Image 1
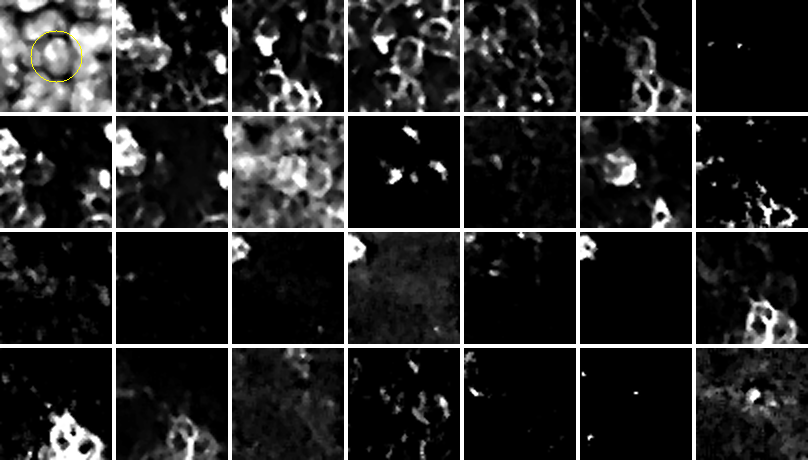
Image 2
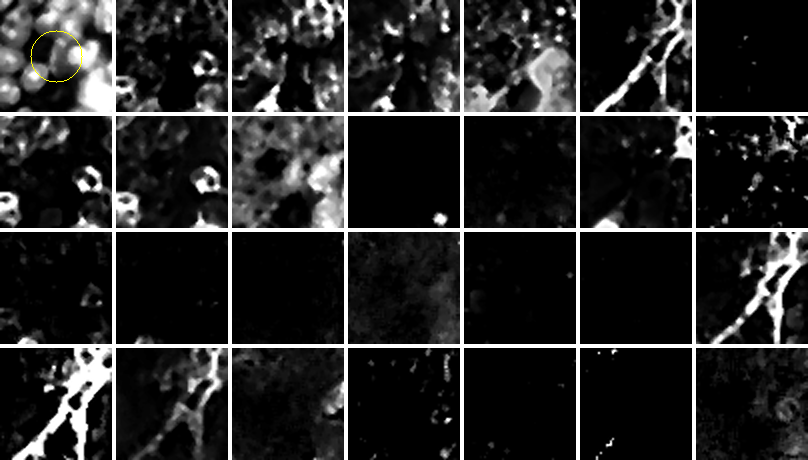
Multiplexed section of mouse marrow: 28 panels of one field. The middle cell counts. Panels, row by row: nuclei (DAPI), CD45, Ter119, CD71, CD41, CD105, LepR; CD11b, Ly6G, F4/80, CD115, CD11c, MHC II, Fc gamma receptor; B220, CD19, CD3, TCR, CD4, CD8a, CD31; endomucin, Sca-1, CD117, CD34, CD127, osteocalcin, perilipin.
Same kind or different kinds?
Same: capillary endothelial cells.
